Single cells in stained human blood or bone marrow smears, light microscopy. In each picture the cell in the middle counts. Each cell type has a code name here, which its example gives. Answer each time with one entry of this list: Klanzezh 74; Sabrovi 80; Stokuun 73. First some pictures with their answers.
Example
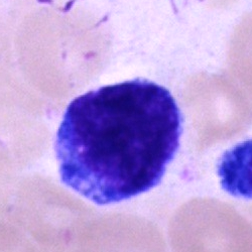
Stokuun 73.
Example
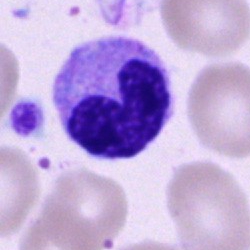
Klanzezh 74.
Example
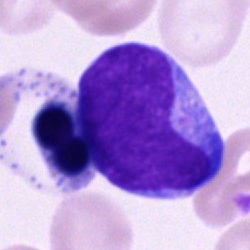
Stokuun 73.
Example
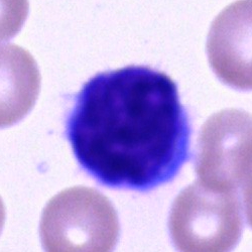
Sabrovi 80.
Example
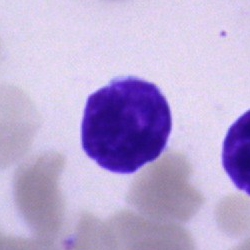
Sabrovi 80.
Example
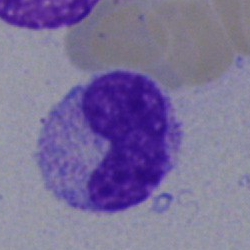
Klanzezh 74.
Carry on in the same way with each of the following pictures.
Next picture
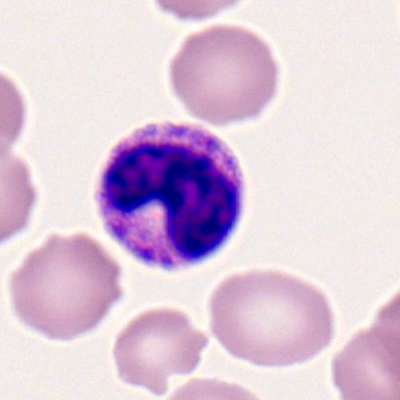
Klanzezh 74.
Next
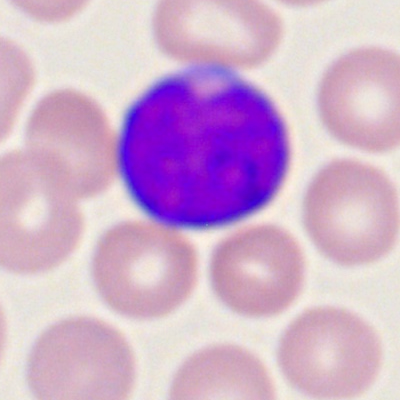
Stokuun 73.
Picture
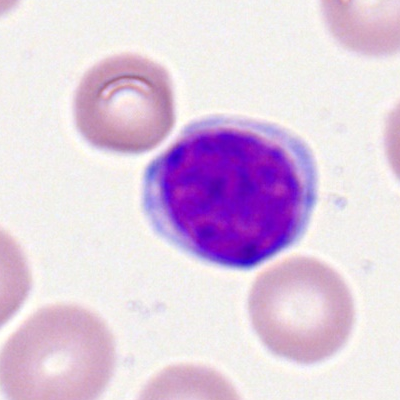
Sabrovi 80.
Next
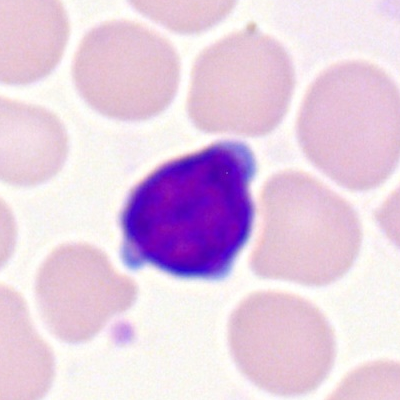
Sabrovi 80.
